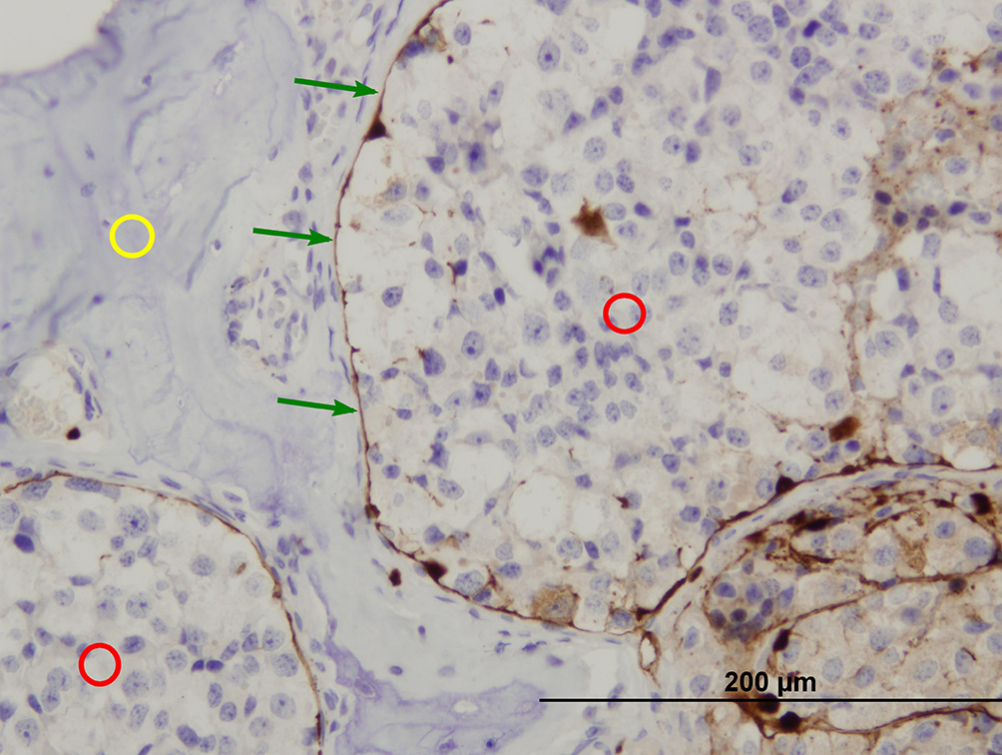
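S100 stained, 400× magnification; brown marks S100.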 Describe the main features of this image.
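Nests of tumour cells, separated by thin fibrous septa, fill most of the field; the tumour cells are polygonal with round to oval blue nuclei and pale, clear or vacuolated cytoplasm, and are largely unstained. Thin, elongated brown-stained sustentacular cells lie at the edges of the nests, forming a delicate rim around them. At the upper left, pale blue, nearly cell-free layered bone matrix lies beside the nests.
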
